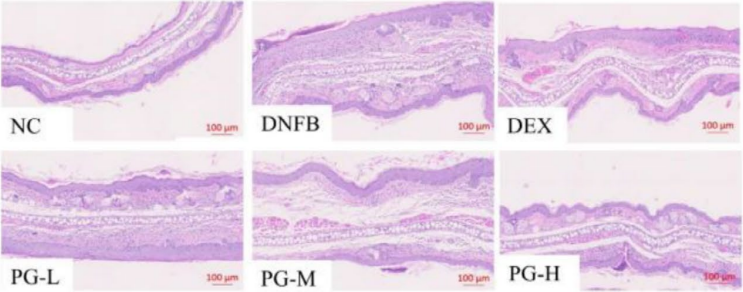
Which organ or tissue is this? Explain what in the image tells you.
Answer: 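A central plate-like layer runs along the length of the sheet. Epithelium covers both outer surfaces of the sheet. The answer: ear tissue.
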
